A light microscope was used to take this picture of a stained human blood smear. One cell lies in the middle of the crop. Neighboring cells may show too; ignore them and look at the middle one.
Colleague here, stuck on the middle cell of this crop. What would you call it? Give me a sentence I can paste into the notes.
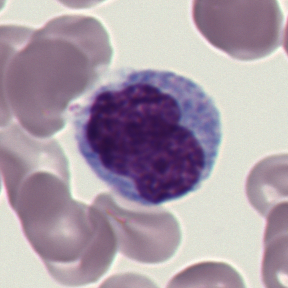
Classification of the middle cell gives a monocyte.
